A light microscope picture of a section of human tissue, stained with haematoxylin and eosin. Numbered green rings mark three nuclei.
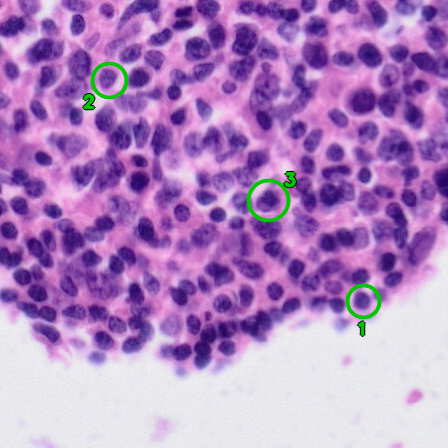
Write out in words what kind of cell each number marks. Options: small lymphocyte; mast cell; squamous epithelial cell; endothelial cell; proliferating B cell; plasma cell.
Cell 1 is a small lymphocyte. Cells 2 and 3 are proliferating B cells.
